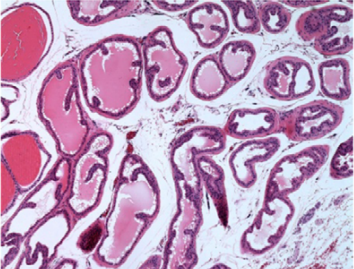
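Prostate tissue with many closely packed glandular ducts, each lined by a thin layer of epithelium with purple nuclei that folds into the lumen in places. The lumens hold pink secretion, dense and deep pink in some ducts and paler in others. A thin, loose pale stroma with scattered small vessels lies between the ducts.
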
